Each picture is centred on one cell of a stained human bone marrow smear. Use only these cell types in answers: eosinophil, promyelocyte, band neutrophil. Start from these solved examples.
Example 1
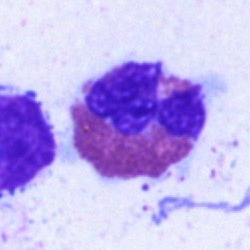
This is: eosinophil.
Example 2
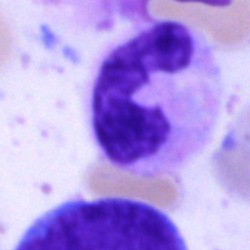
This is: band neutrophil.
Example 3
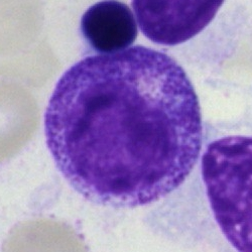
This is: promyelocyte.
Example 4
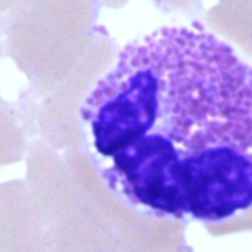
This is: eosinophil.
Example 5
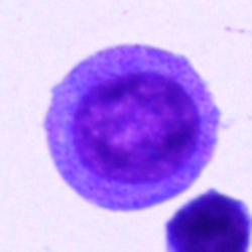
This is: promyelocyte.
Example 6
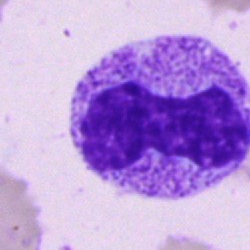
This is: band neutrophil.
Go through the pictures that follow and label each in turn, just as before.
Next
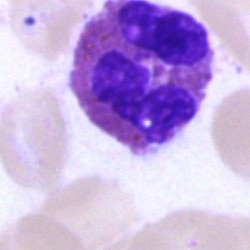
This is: eosinophil.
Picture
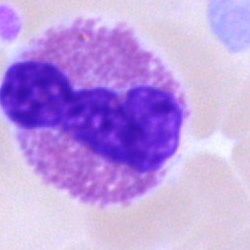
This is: eosinophil.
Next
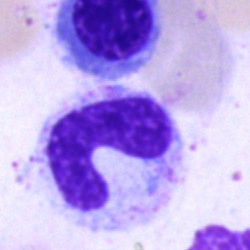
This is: band neutrophil.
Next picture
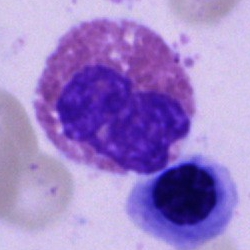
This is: eosinophil.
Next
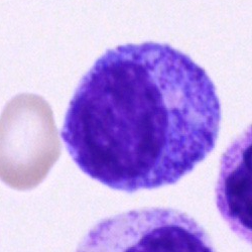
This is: promyelocyte.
